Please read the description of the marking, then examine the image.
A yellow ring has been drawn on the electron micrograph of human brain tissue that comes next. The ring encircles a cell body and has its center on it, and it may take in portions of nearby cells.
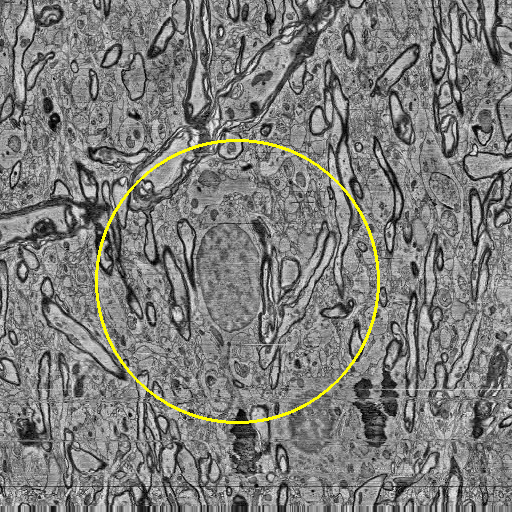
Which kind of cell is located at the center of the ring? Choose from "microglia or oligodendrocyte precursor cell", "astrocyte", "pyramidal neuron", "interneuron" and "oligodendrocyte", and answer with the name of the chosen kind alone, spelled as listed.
oligodendrocyte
